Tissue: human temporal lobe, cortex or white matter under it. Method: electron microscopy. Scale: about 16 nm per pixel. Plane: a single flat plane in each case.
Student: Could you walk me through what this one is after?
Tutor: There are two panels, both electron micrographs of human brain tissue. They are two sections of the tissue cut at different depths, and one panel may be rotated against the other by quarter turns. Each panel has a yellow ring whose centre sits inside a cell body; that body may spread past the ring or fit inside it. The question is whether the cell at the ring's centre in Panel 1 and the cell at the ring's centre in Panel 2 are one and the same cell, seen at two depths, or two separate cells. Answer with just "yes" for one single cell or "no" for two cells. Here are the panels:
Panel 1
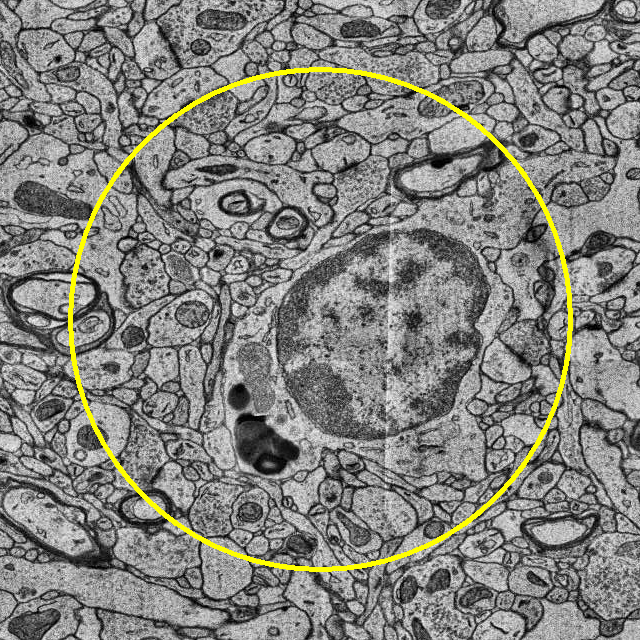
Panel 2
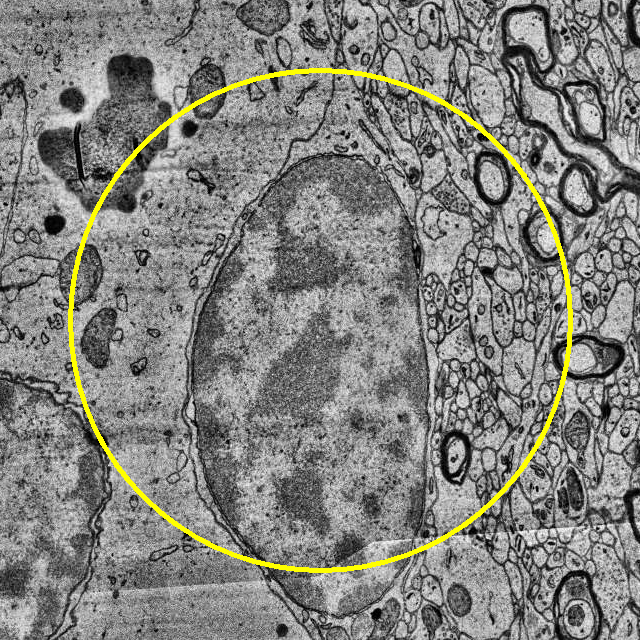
no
